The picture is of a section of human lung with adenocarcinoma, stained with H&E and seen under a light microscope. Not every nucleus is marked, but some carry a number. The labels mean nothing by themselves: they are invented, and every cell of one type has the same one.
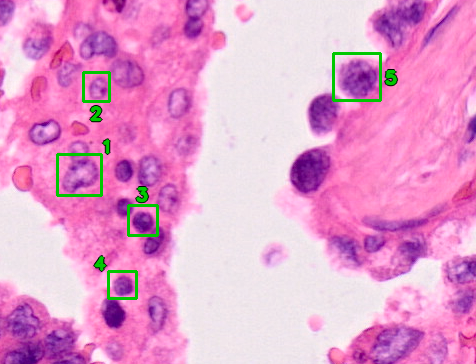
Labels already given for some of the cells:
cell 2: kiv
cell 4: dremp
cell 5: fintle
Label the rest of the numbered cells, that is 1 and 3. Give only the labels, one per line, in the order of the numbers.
kiv
dremp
